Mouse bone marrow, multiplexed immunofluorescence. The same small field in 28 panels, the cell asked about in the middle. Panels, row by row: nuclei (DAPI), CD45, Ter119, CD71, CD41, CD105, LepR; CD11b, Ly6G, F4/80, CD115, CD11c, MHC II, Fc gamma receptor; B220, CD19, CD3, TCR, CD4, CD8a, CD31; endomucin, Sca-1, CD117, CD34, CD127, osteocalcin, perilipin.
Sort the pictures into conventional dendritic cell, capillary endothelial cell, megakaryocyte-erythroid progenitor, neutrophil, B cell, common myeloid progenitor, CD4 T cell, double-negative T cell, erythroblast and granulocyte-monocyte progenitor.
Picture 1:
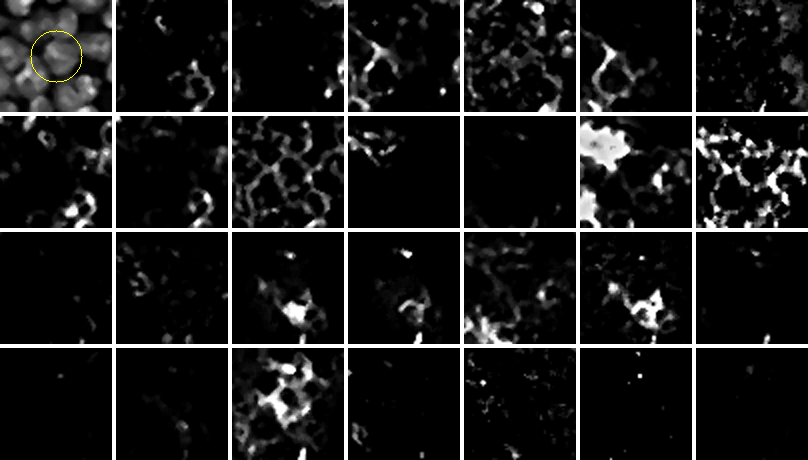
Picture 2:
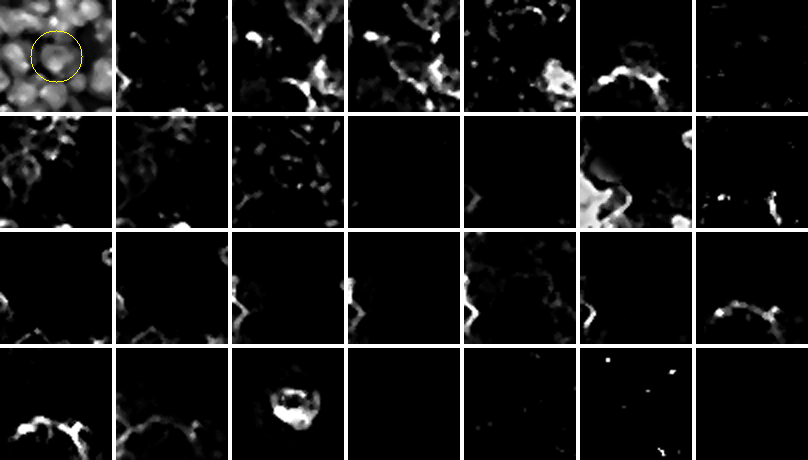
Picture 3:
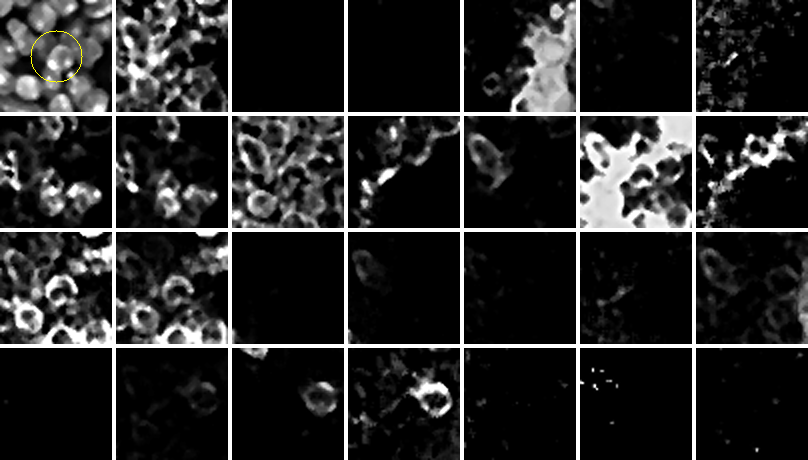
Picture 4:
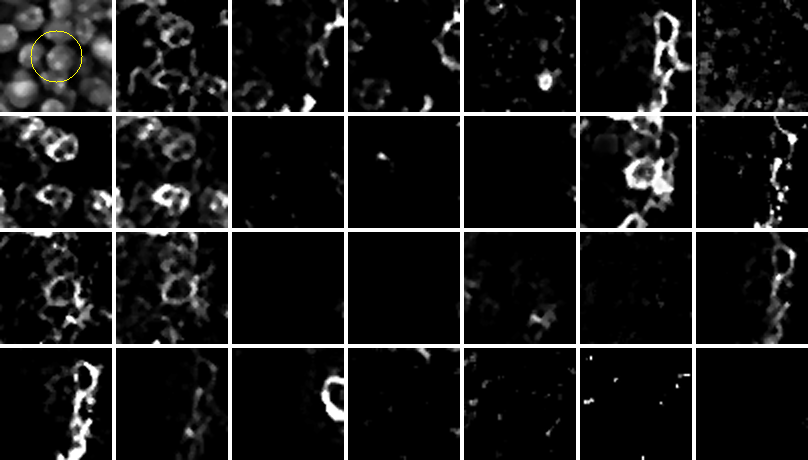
Granulocyte-monocyte progenitors: 1
Megakaryocyte-erythroid progenitors: 2
B cells: 3, 4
